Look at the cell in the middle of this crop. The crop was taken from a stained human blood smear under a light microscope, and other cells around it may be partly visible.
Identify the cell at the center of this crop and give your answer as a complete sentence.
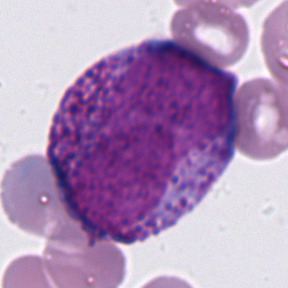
The cell in the middle of this crop is a promyelocyte.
